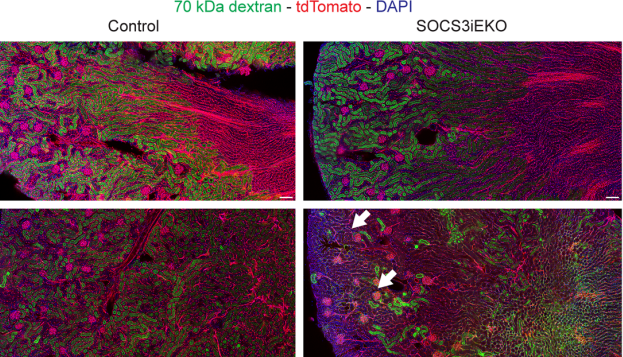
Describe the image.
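These are thick sections of kidney viewed by fluorescence. In the cortex, winding convoluted tubules are filled with green fluorescence and outlined by a fine red network, and round red tufts, the glomeruli, are scattered among them. Deeper, long straight red vessels run in parallel bundles toward the medulla, where green is scarce. In the lower images green filling of the tubules is weaker overall, and in the lower right image it is patchy, with areas of tubules showing red outlines but no green content, marked by white arrows.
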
